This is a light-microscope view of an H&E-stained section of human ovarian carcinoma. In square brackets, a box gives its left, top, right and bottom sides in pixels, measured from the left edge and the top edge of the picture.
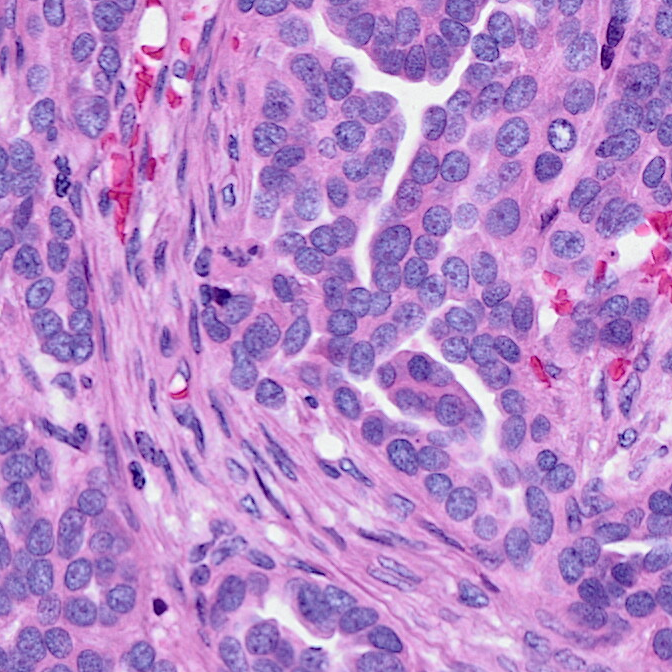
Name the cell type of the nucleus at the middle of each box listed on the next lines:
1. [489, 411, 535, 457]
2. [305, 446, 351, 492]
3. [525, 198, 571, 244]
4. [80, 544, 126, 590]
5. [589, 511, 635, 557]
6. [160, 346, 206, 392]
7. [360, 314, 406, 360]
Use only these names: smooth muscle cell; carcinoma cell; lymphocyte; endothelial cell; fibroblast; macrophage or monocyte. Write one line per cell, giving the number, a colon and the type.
1: carcinoma cell
2: fibroblast
3: fibroblast
4: carcinoma cell
5: carcinoma cell
6: endothelial cell
7: carcinoma cell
